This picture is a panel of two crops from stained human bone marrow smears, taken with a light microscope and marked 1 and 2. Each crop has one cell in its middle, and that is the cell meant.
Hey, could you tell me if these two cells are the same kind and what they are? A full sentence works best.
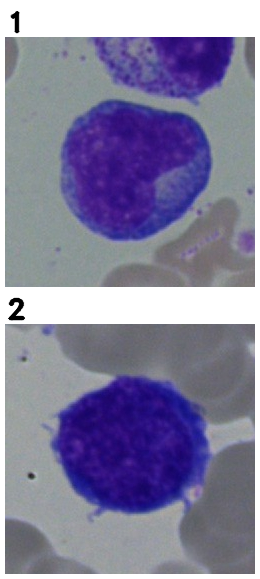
Yes, that is right, both crops show blasts.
